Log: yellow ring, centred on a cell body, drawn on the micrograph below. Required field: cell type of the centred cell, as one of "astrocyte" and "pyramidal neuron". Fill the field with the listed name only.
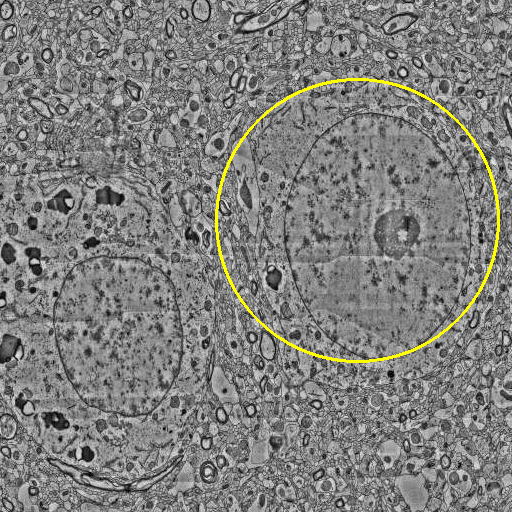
pyramidal neuron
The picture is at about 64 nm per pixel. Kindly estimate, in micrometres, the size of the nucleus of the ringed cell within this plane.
In this plane, approximately 16 by 12 micrometers.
